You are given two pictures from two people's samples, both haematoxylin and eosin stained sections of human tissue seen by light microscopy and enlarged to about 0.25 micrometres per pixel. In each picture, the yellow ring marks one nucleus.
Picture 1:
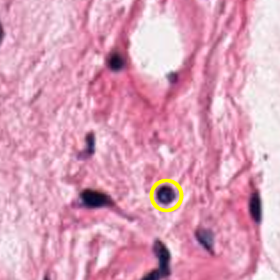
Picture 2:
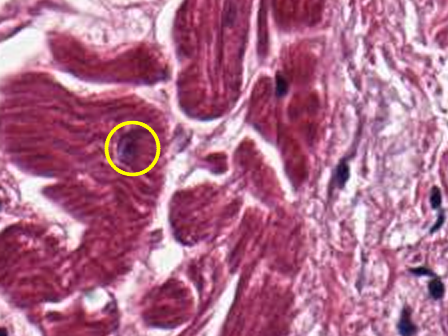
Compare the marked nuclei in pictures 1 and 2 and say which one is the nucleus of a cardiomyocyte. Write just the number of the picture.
2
